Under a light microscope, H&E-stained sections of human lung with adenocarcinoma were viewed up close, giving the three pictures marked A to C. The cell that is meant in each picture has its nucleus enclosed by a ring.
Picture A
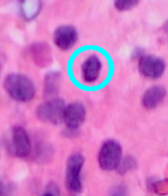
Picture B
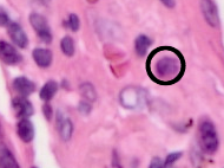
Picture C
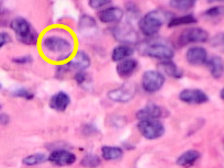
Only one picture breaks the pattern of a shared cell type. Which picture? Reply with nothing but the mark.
B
